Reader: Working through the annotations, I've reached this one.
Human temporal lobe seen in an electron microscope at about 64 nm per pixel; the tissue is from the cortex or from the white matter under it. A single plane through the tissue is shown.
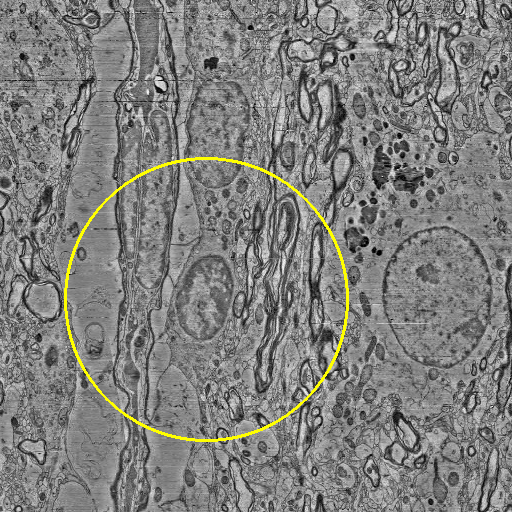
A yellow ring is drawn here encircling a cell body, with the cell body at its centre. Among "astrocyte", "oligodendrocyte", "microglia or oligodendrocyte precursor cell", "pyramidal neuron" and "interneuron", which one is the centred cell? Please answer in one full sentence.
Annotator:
The cell body at the centre of the yellow ring in this image belongs to an oligodendrocyte.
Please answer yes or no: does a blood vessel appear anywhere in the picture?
Yes, the picture includes a blood vessel.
